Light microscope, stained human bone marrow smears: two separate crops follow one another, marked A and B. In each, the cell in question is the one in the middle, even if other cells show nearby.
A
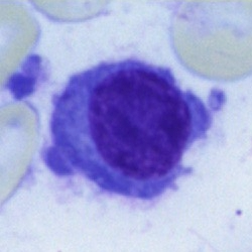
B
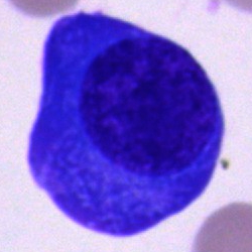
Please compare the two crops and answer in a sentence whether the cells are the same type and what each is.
Yes, in short, both crops show plasma cells.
